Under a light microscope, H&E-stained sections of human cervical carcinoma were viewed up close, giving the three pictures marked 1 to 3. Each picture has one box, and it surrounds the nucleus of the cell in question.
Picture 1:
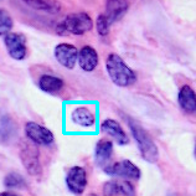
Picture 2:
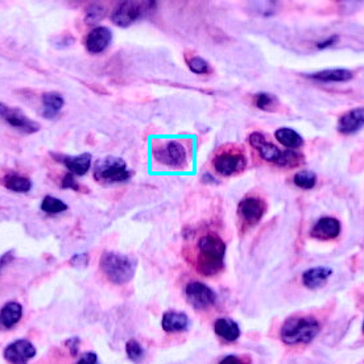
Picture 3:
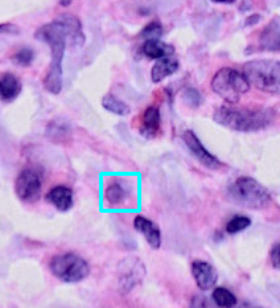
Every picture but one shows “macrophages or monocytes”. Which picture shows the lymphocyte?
1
